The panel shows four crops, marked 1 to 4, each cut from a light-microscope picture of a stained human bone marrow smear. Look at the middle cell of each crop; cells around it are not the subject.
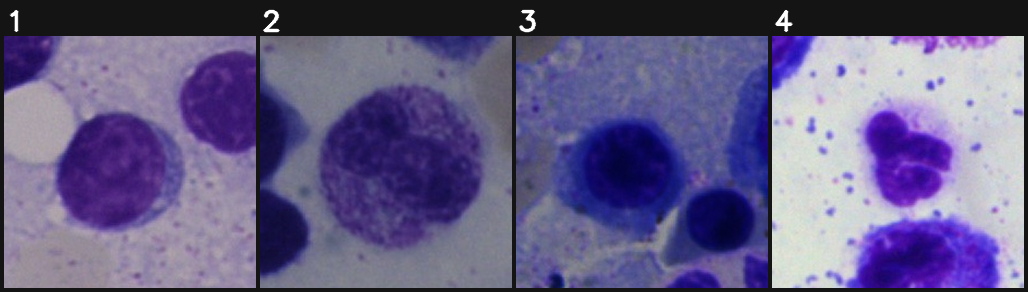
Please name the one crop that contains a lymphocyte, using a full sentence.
Crop 1 shows a lymphocyte, and no other crop does.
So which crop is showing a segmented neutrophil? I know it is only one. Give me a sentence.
Crop 4 is the crop whose central cell is a segmented neutrophil.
